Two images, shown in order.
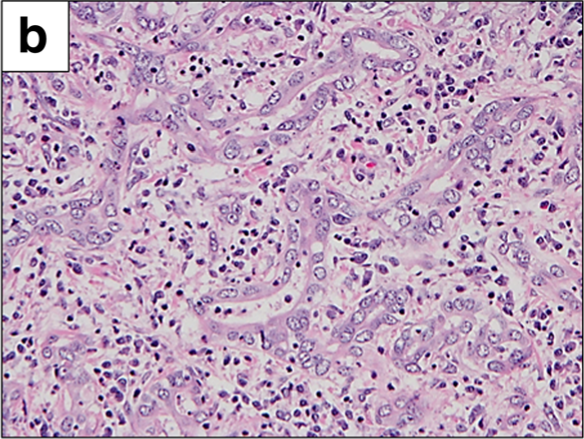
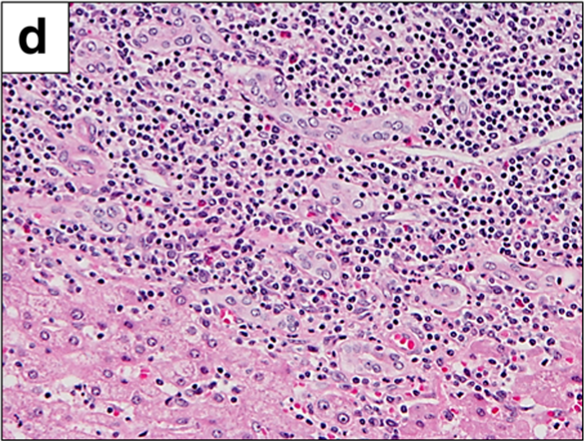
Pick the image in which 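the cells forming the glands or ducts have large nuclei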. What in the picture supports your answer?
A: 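First image: gland-forming cells are large with enlarged oval nuclei. That points to this answer: the first image.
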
